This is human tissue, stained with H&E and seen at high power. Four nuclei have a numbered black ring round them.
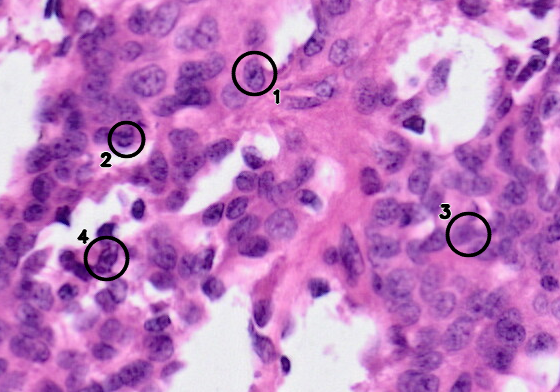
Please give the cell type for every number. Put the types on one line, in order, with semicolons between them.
macrophage or monocyte; carcinoma cell; carcinoma cell; carcinoma cell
